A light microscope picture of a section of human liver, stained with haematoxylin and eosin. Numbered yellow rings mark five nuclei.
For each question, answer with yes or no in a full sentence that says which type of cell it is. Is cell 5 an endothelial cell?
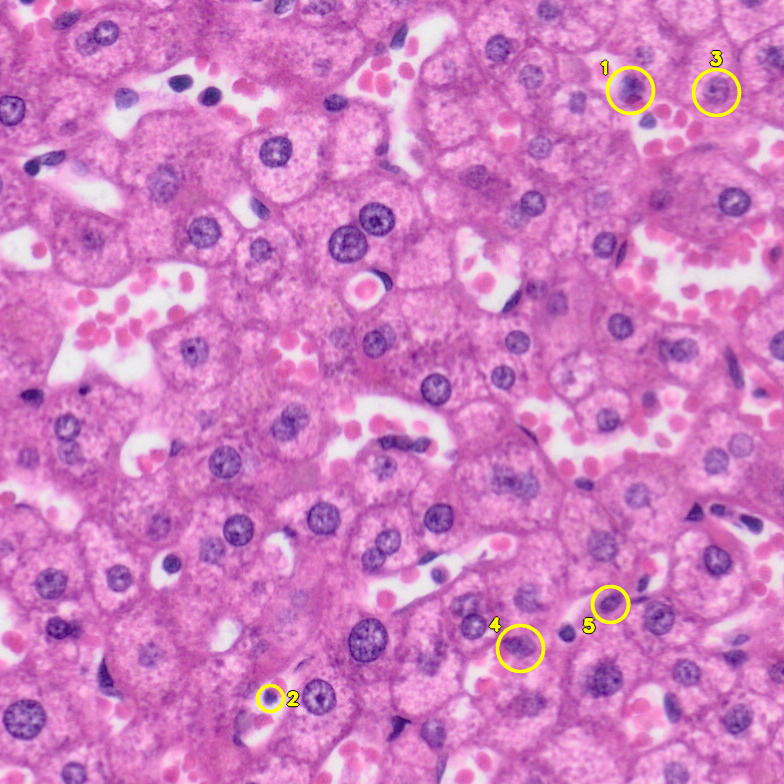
No, instead of an endothelial cell, the cell with number 5 is a Kupffer cell.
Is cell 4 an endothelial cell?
Yes, the cell marked with number 4 is an endothelial cell.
